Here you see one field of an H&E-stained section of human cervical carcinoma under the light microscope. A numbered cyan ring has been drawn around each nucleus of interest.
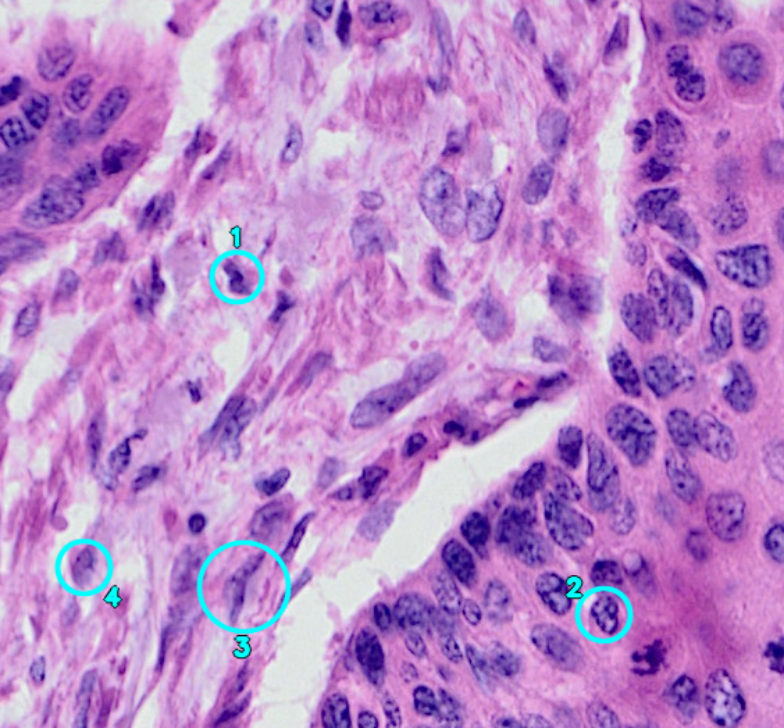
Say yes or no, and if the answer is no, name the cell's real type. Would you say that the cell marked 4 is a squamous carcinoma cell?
No, it is a fibroblast.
